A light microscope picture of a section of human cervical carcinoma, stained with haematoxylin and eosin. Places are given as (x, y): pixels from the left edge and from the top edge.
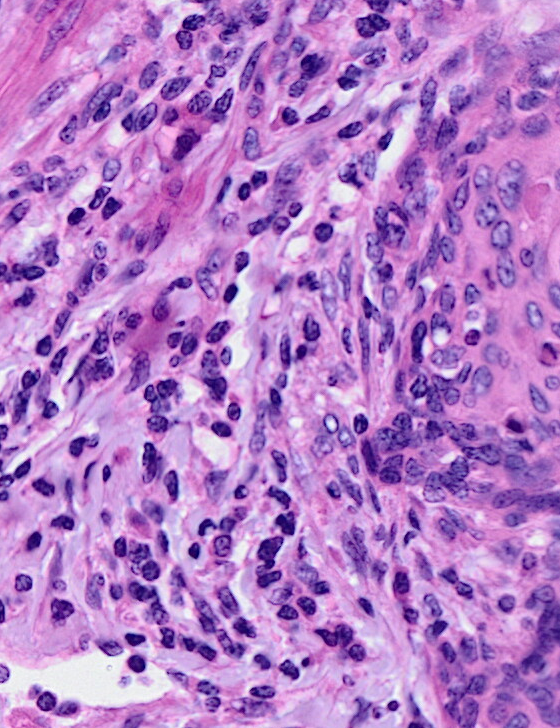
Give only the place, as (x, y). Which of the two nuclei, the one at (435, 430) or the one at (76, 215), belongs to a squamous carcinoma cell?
(435, 430)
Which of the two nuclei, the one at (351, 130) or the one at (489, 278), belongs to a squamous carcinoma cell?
(489, 278)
